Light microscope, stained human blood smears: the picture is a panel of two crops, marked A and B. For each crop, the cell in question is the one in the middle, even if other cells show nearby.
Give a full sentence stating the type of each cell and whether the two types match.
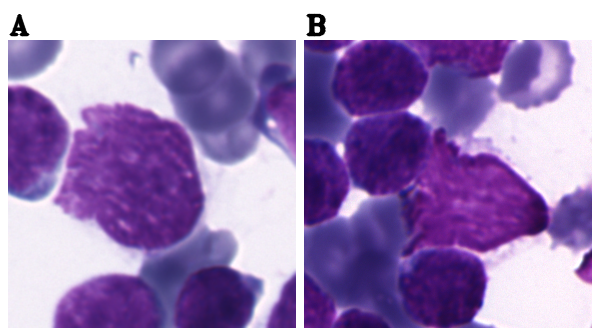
No, at the centre of crop A is a smudge cell, and at the centre of crop B is a myeloblast.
